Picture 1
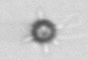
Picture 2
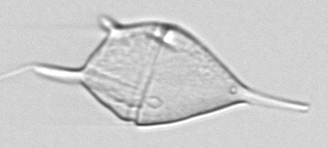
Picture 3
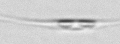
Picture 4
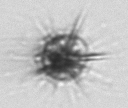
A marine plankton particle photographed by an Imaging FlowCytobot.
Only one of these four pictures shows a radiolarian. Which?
Picture 4.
